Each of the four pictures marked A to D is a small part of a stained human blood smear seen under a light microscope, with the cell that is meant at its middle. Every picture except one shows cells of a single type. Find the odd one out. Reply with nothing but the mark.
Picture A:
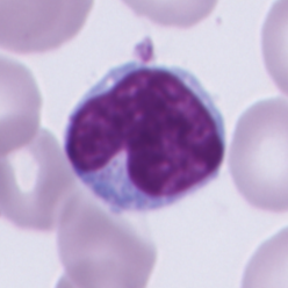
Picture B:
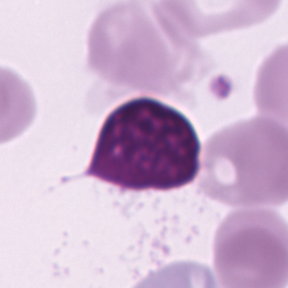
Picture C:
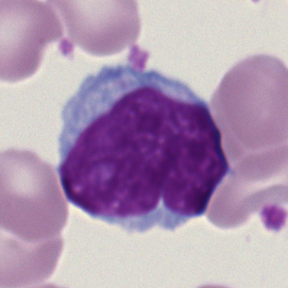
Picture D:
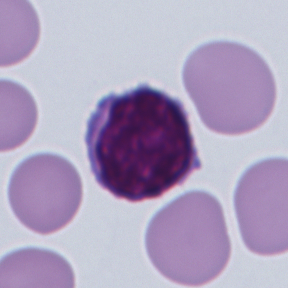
B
